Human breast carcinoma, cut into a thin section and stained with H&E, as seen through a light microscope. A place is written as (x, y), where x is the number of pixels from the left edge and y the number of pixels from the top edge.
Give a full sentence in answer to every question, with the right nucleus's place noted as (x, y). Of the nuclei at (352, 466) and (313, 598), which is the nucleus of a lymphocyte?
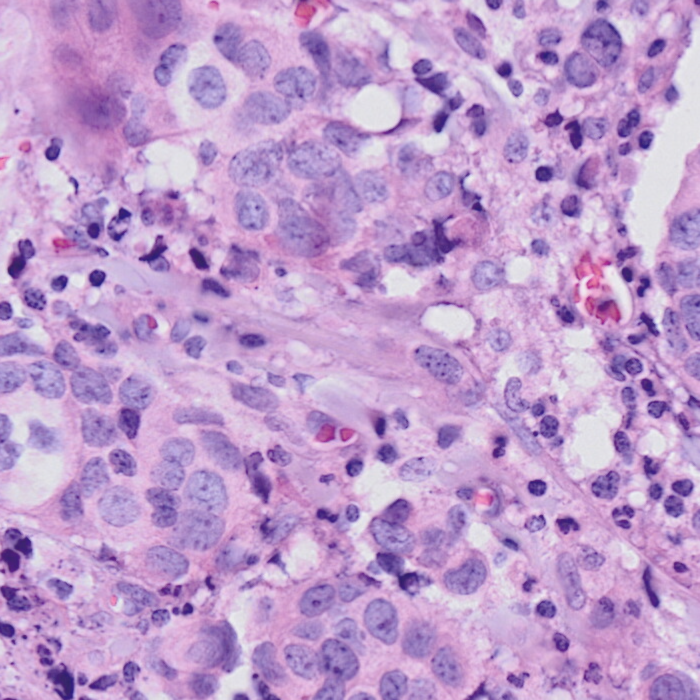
Of the two nuclei, that at (352, 466) is the nucleus of a lymphocyte.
